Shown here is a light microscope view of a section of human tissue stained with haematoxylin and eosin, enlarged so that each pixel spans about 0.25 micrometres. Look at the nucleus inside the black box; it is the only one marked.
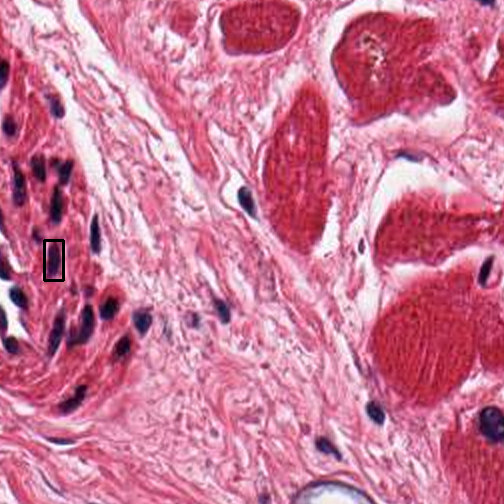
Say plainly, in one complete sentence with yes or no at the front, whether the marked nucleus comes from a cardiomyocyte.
No, in this micrograph the marked nucleus does not belong to a cardiomyocyte.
